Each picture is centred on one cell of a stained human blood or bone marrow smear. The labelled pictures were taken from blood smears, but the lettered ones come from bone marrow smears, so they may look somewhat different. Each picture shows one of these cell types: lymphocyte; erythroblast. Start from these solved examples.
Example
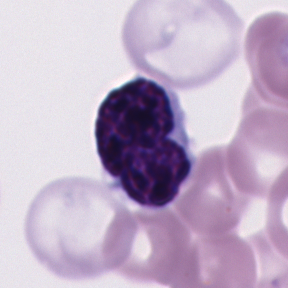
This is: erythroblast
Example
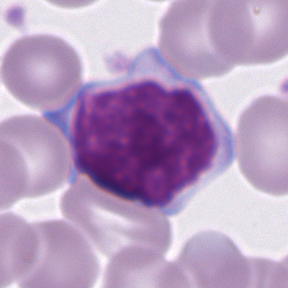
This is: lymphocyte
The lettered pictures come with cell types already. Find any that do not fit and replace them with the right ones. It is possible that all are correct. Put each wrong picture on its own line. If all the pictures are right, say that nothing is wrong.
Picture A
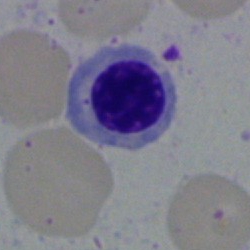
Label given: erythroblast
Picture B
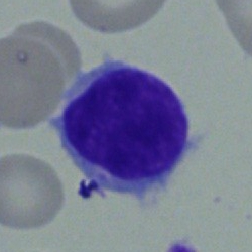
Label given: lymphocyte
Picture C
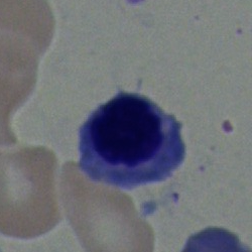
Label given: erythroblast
None of the labels needs changing.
